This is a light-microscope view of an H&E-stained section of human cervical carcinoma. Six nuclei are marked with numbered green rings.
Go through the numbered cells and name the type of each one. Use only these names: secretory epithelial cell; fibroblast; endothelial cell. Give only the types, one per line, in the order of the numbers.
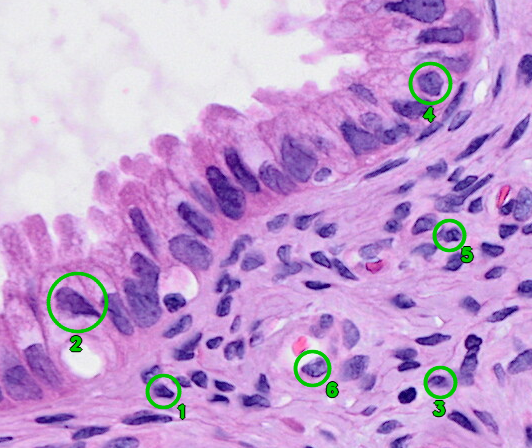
fibroblast
secretory epithelial cell
fibroblast
secretory epithelial cell
fibroblast
endothelial cell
